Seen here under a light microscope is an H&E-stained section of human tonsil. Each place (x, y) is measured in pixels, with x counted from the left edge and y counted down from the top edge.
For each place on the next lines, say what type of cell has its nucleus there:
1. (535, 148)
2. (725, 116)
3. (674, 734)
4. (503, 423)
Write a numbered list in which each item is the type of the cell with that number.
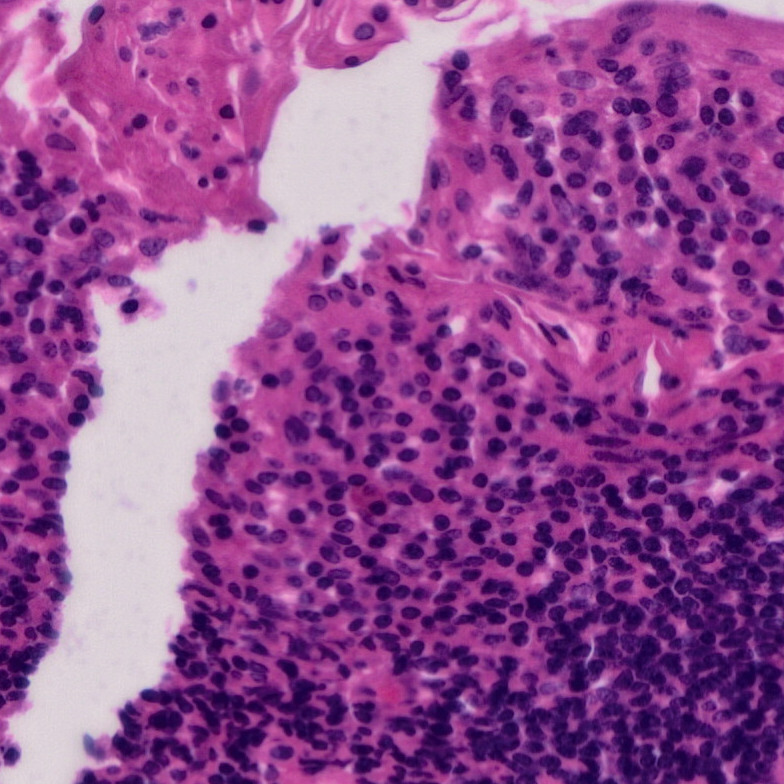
1. plasma cell
2. plasma cell
3. small lymphocyte
4. plasma cell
